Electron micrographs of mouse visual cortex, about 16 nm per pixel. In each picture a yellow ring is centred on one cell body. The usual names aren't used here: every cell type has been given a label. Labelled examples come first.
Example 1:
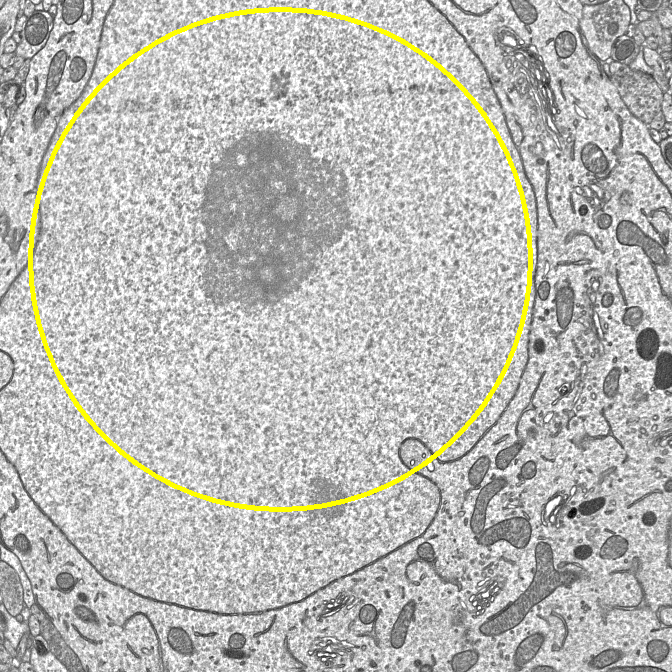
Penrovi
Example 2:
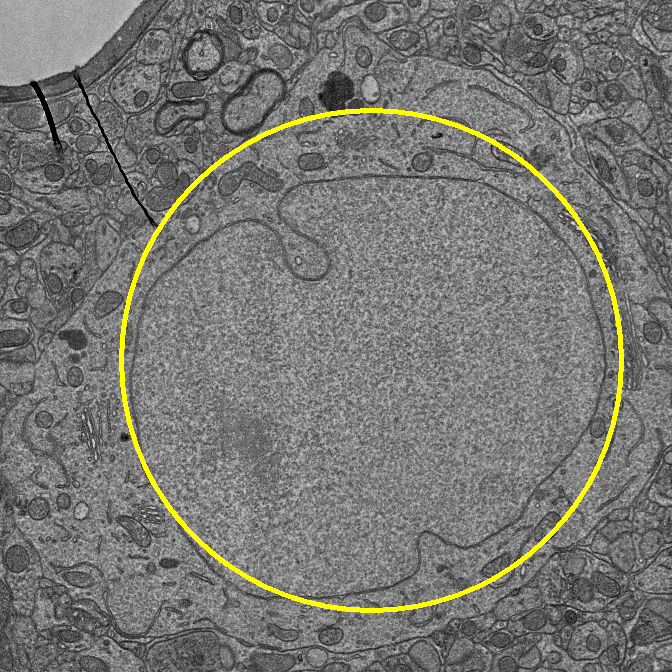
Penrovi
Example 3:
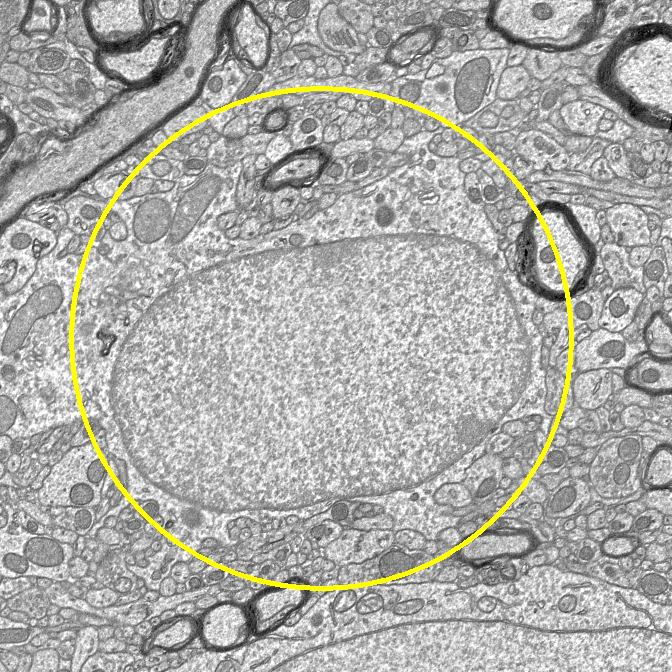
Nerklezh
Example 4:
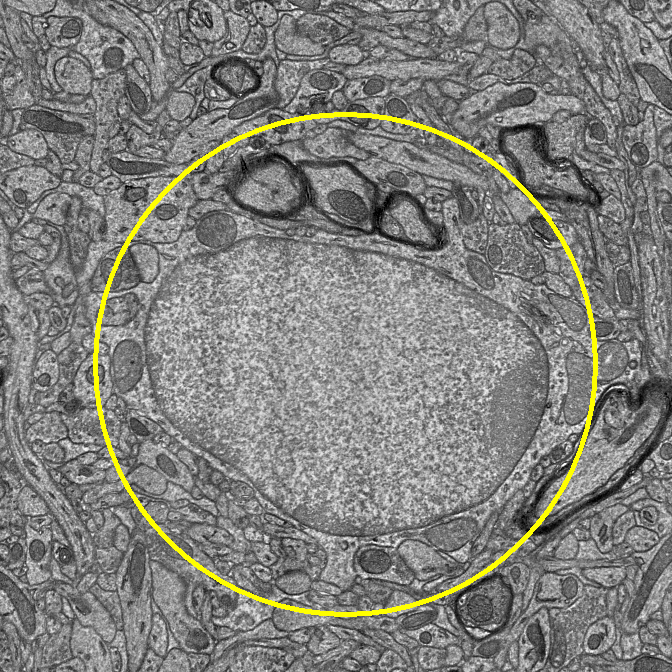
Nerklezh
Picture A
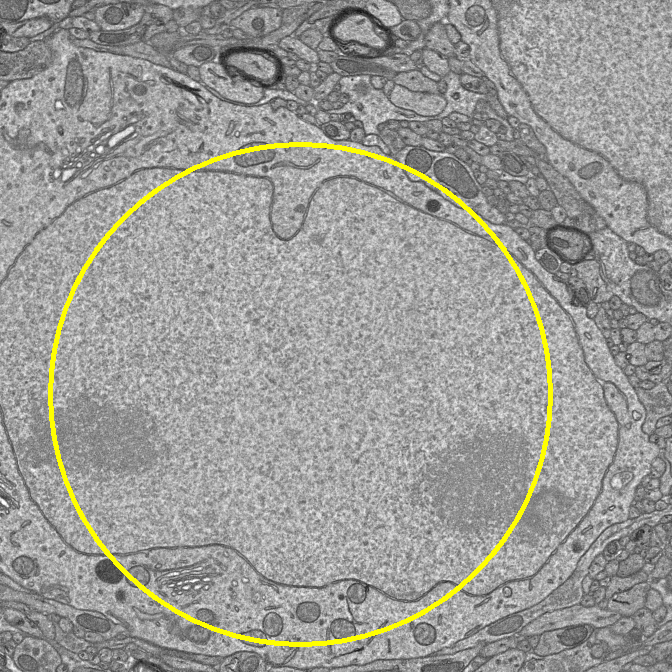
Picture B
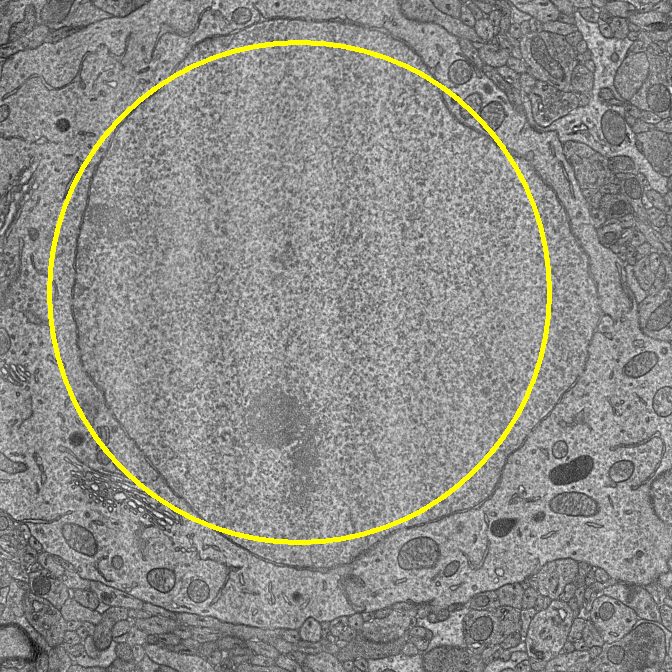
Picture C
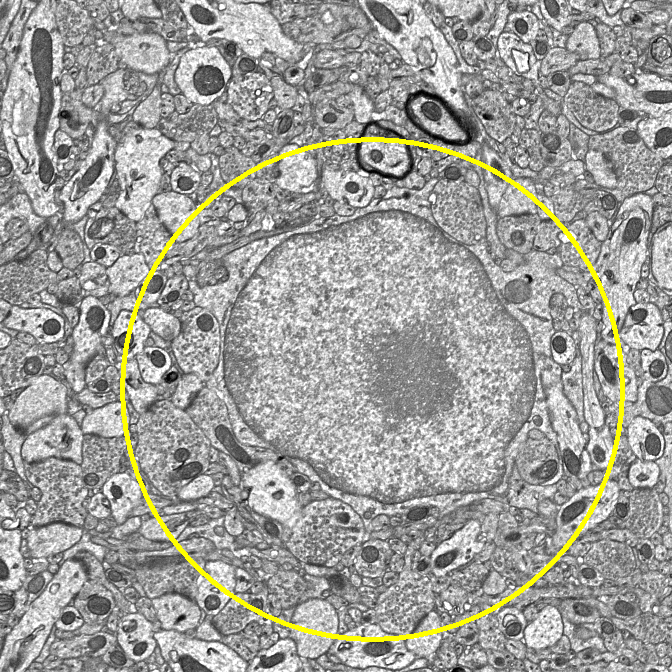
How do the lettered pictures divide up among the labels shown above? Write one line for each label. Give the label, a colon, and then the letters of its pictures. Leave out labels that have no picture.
Penrovi: A, B
Nerklezh: C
